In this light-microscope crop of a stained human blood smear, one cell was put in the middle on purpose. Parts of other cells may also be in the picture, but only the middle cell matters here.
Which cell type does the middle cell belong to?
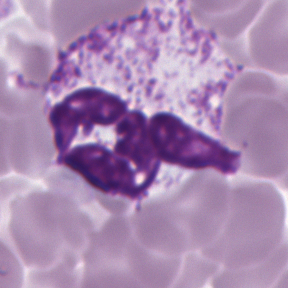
segmented neutrophil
